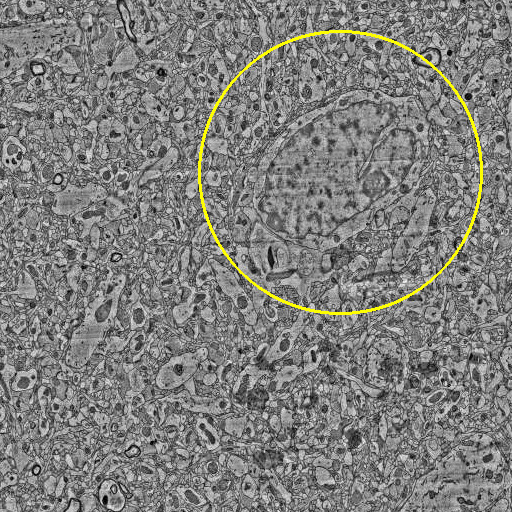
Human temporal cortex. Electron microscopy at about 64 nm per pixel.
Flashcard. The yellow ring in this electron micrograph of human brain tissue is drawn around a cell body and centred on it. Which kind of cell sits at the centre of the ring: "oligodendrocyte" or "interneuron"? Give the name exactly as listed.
interneuron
